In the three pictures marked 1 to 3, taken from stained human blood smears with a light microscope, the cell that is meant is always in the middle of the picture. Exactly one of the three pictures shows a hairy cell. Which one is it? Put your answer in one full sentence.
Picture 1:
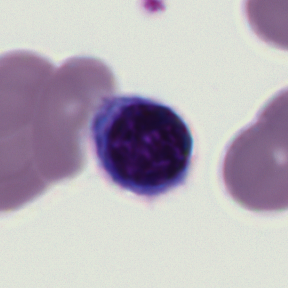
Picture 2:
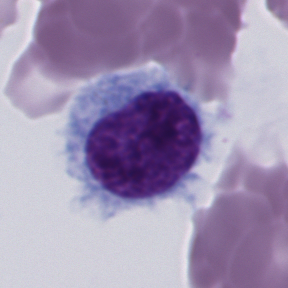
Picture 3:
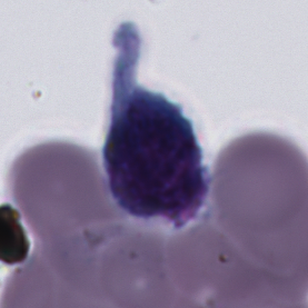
Picture 2 shows the hairy cell.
